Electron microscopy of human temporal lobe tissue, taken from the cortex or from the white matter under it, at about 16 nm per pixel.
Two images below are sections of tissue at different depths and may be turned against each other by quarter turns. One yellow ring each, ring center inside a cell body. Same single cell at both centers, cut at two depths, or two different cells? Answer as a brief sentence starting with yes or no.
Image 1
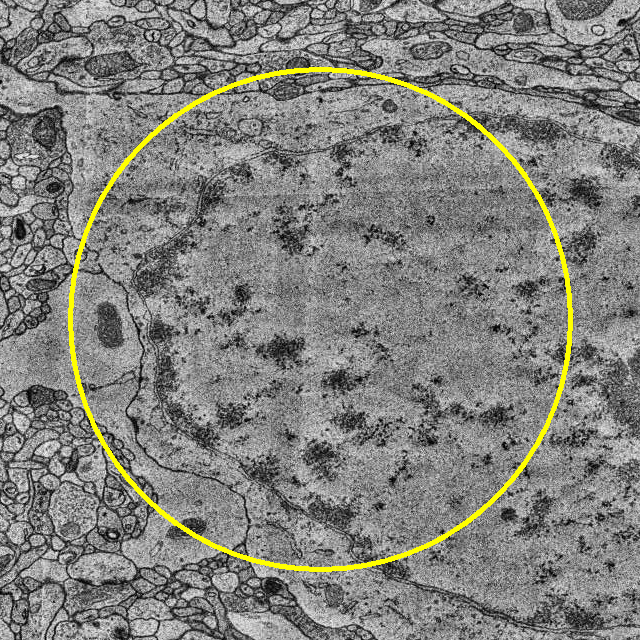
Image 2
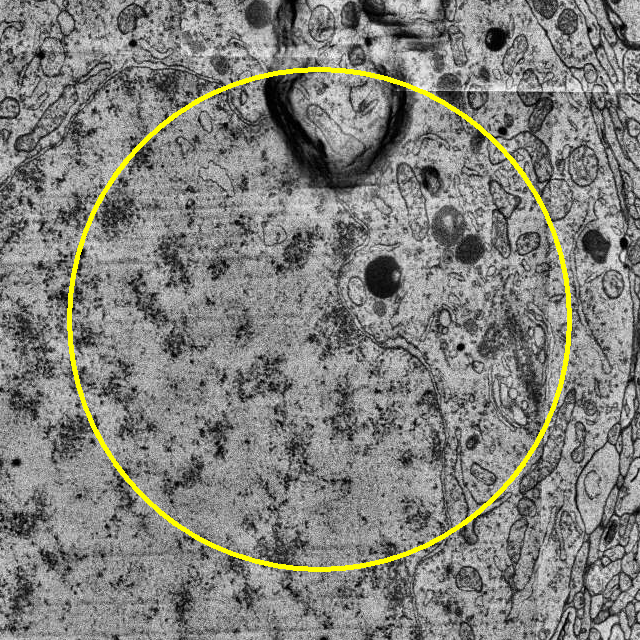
No, what the two rings mark is two different cells.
